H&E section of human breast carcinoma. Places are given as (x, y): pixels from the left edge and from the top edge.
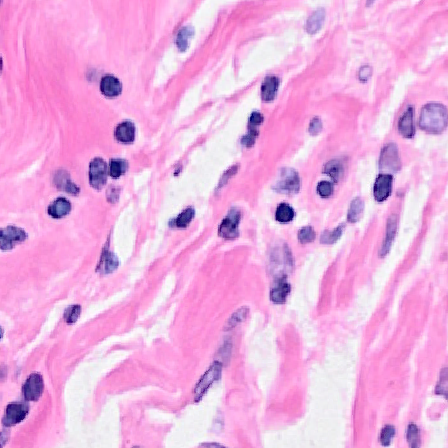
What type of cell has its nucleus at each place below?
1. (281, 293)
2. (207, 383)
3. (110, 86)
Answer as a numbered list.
1. lymphocyte
2. endothelial cell
3. lymphocyte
